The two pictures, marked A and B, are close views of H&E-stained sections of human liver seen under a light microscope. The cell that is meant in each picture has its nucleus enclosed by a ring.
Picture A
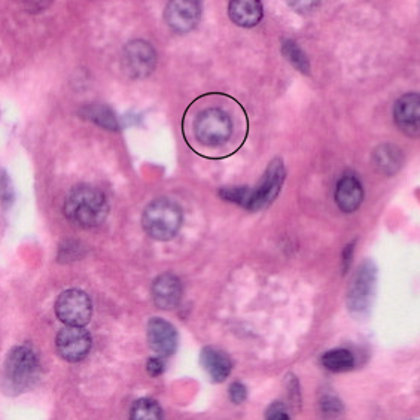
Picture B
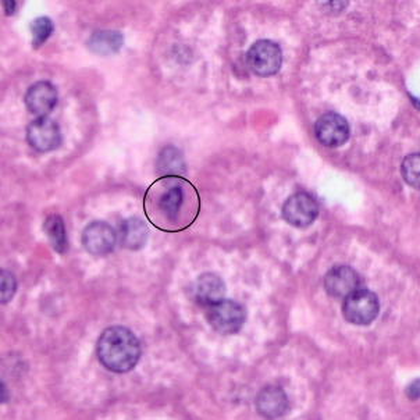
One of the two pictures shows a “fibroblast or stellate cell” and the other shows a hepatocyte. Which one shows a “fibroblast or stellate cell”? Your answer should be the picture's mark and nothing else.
B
